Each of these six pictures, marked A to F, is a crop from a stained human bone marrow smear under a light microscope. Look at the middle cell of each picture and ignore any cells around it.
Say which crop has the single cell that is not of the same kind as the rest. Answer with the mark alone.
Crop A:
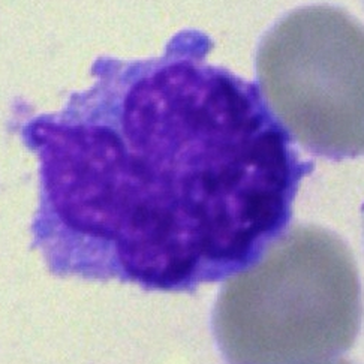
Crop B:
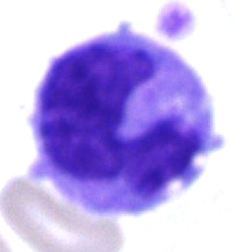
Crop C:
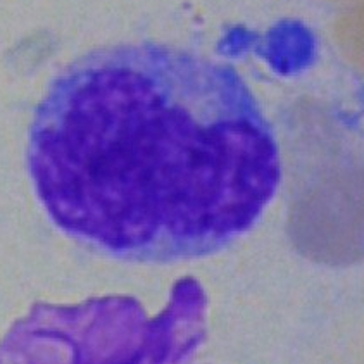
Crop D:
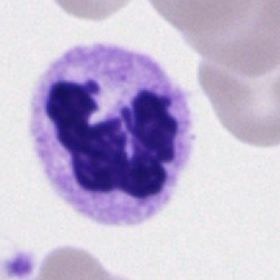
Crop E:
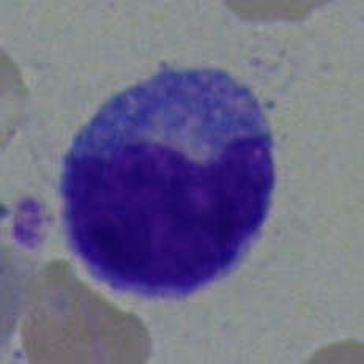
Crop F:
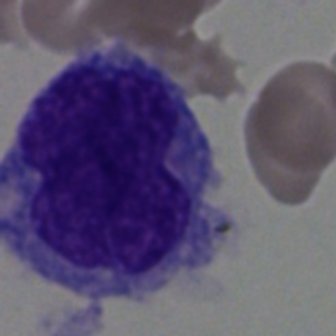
D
